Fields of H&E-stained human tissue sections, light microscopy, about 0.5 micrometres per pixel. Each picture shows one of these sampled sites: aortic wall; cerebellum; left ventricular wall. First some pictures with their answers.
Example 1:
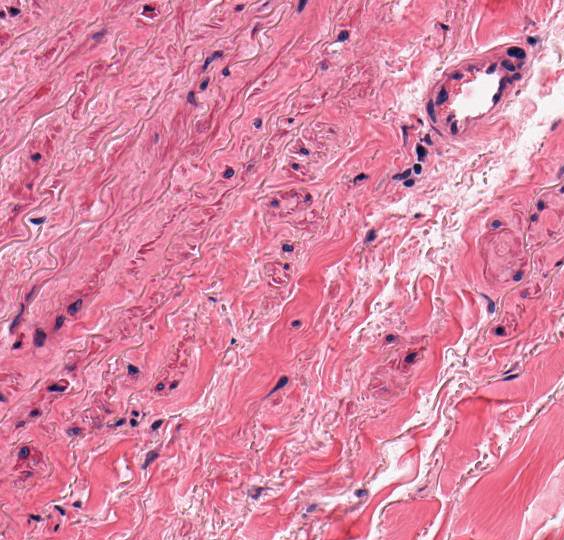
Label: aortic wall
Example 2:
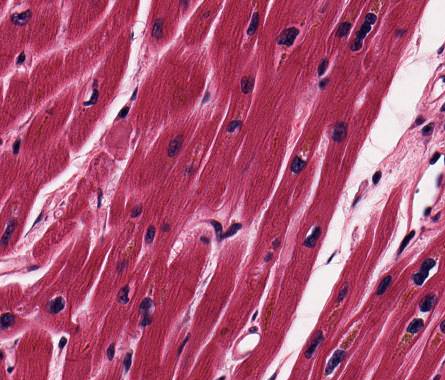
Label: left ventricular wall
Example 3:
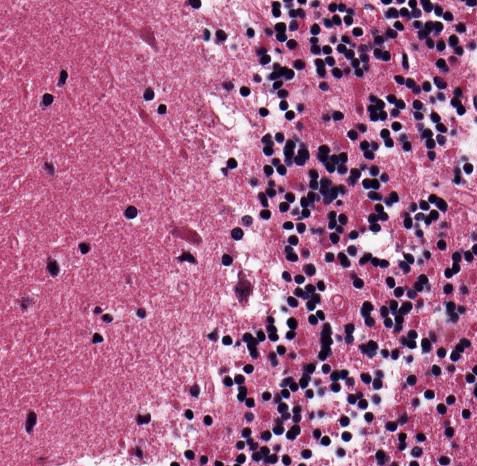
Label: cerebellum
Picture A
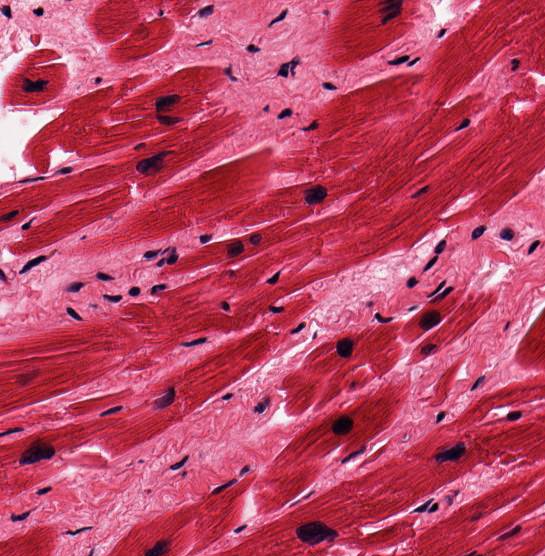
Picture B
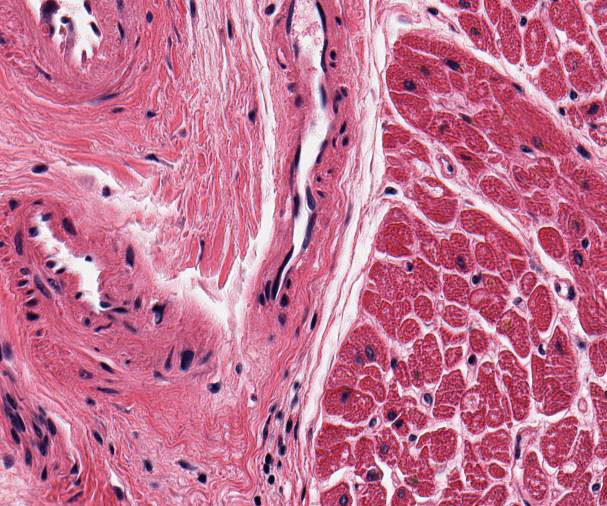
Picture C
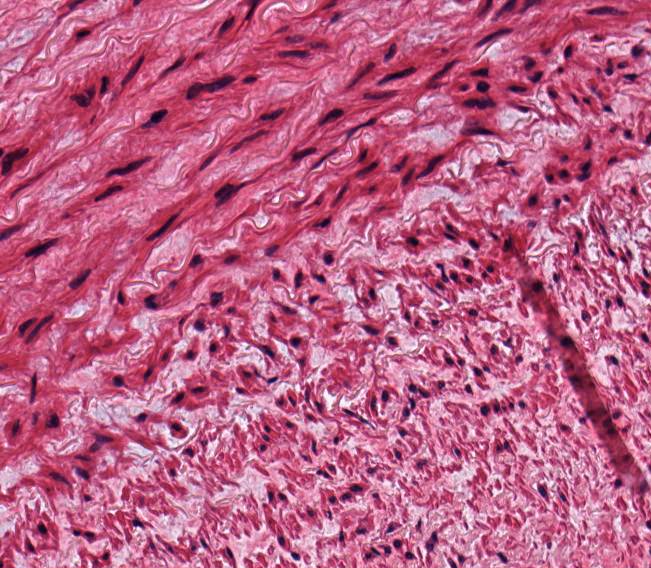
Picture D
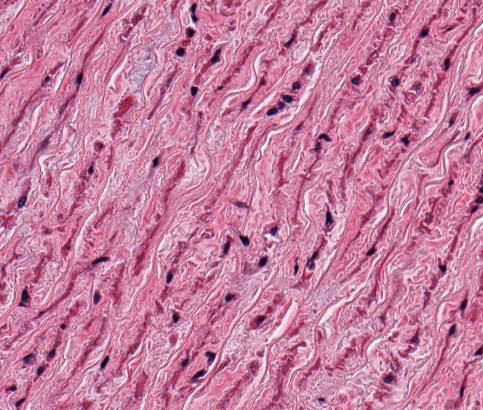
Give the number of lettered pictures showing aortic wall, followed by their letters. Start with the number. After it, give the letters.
2, namely C, D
